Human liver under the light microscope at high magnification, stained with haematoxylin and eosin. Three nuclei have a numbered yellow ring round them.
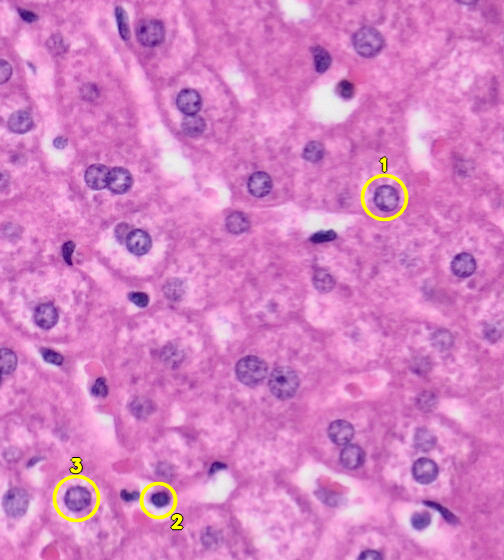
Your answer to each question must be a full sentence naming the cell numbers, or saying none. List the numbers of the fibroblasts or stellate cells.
The tally for fibroblasts or stellate cells among the numbered cells is zero.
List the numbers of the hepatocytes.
The cells picked out by numbers 1 and 3 are hepatocytes.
